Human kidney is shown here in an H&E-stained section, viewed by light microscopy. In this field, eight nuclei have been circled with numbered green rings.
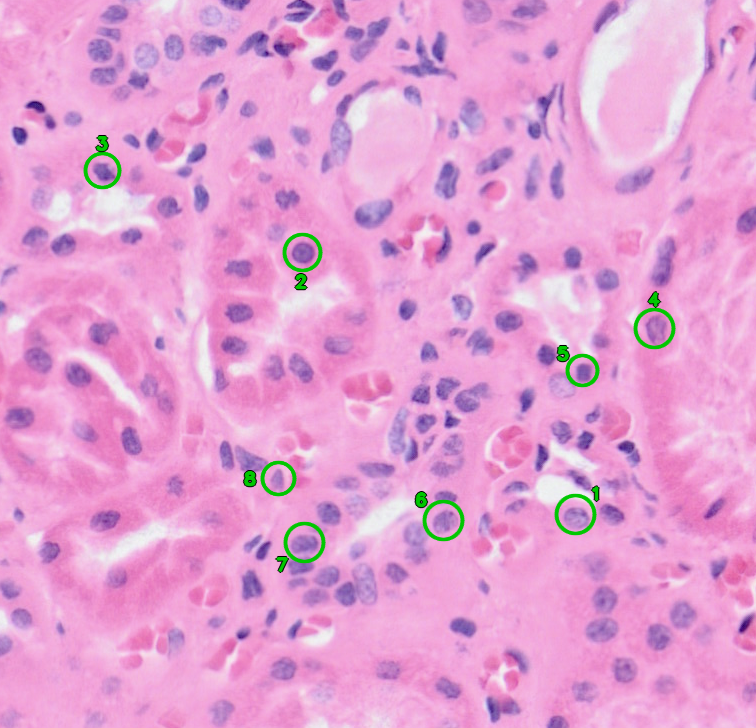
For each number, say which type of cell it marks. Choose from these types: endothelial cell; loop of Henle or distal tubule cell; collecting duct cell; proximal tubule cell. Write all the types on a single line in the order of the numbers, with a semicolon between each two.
loop of Henle or distal tubule cell; proximal tubule cell; loop of Henle or distal tubule cell; proximal tubule cell; loop of Henle or distal tubule cell; collecting duct cell; collecting duct cell; endothelial cell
